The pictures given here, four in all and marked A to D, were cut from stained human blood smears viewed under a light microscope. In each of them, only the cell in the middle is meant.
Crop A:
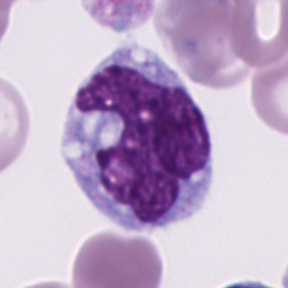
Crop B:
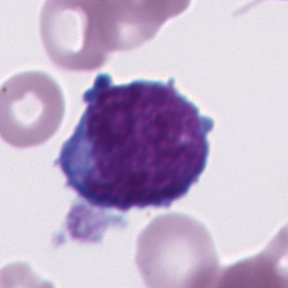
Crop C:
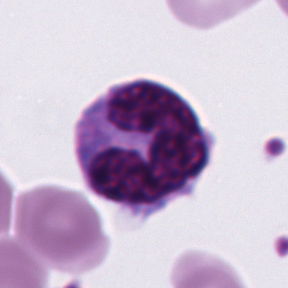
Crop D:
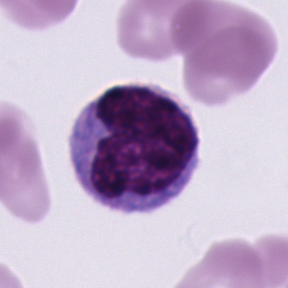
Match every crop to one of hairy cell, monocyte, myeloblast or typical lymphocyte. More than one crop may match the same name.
A: monocyte
B: myeloblast
C: monocyte
D: monocyte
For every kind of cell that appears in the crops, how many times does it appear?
monocyte: 3
myeloblast: 1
